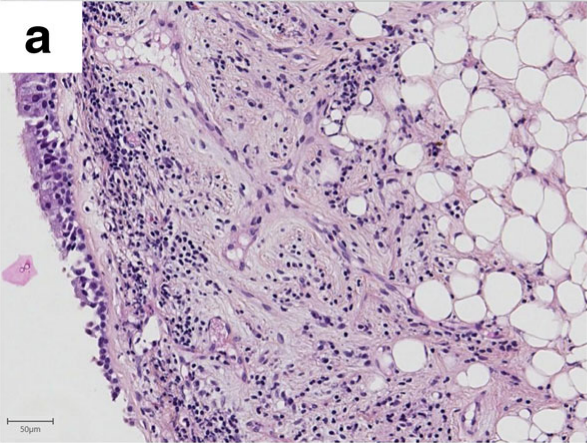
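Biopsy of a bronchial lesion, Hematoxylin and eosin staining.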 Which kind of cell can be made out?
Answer: adipose cells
